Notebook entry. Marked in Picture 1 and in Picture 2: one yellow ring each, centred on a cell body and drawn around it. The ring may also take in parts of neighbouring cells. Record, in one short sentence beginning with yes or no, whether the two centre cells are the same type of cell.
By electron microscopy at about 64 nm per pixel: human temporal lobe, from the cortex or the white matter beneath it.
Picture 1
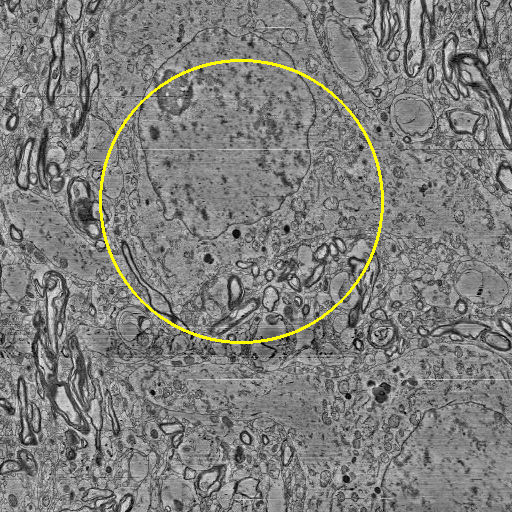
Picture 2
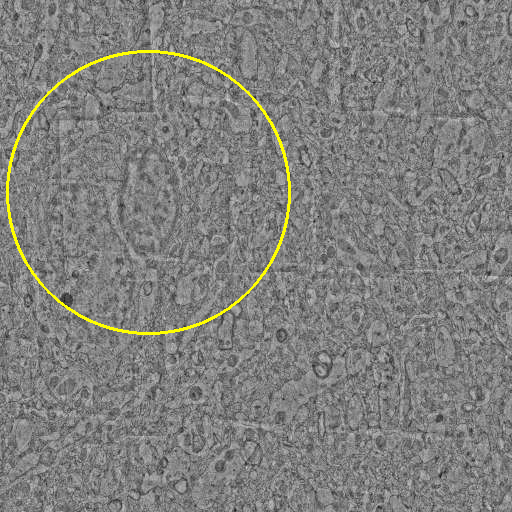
No, they are two types of cell.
